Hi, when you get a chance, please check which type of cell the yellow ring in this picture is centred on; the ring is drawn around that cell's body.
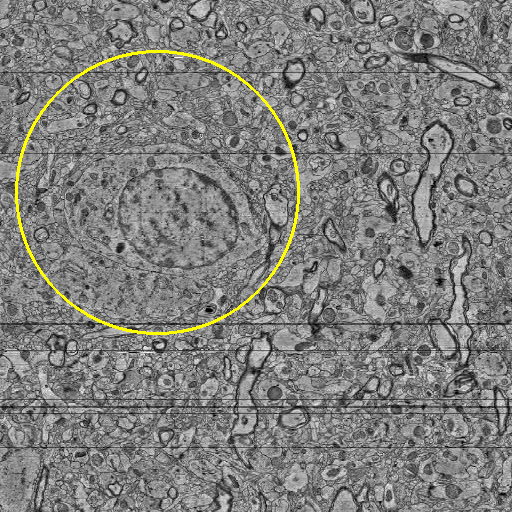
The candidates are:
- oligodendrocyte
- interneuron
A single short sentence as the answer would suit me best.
The ring is drawn around the body of an interneuron.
